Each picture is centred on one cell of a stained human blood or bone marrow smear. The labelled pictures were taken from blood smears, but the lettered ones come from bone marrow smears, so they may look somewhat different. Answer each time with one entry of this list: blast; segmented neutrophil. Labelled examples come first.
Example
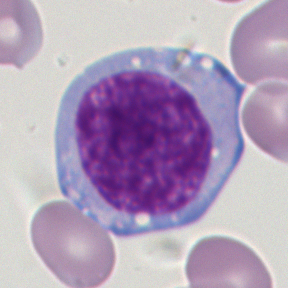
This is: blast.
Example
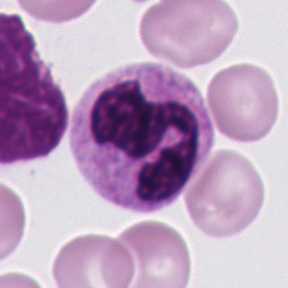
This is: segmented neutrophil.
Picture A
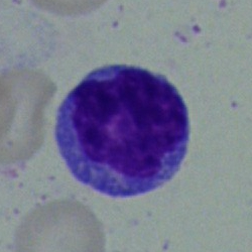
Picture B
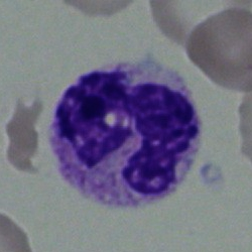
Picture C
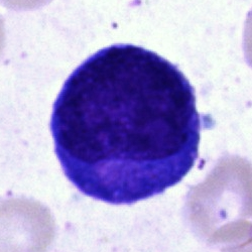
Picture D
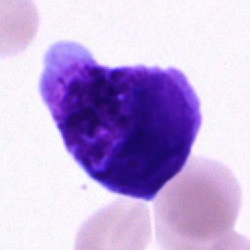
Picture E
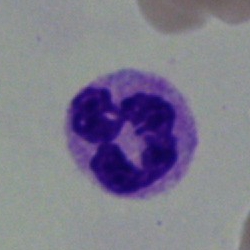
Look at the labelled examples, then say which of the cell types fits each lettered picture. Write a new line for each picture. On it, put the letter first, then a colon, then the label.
A: blast.
B: segmented neutrophil.
C: blast.
D: blast.
E: segmented neutrophil.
